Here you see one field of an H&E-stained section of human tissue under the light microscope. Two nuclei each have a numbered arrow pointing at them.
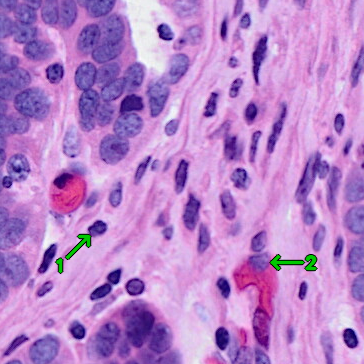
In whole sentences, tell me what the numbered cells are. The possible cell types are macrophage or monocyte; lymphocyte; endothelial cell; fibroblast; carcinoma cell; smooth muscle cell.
Cell 1 is a lymphocyte. Cell 2 is an endothelial cell.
